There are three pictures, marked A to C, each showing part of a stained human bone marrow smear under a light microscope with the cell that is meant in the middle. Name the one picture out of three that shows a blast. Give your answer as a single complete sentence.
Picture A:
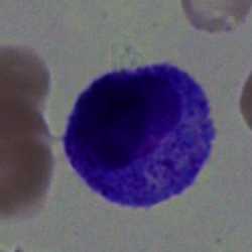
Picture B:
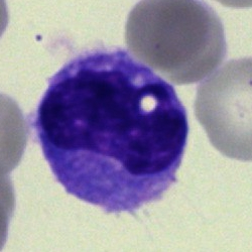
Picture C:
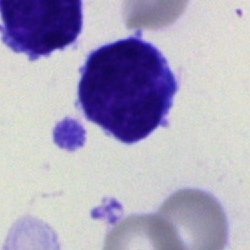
The picture with the blast is C.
